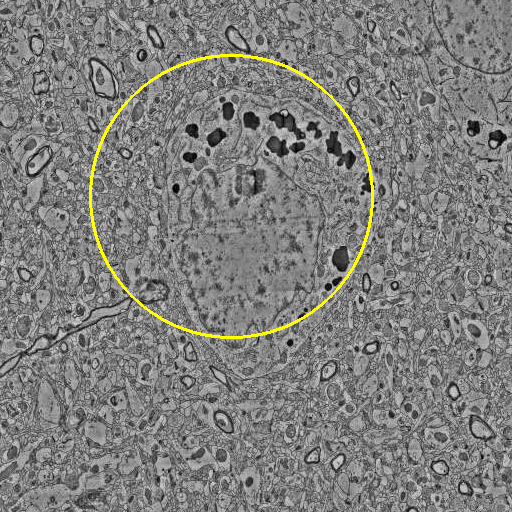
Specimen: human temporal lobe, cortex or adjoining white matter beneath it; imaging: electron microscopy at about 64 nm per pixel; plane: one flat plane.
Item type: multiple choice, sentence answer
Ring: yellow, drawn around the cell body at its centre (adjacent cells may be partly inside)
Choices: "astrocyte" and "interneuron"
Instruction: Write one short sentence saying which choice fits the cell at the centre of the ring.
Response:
This ring is drawn around an interneuron.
